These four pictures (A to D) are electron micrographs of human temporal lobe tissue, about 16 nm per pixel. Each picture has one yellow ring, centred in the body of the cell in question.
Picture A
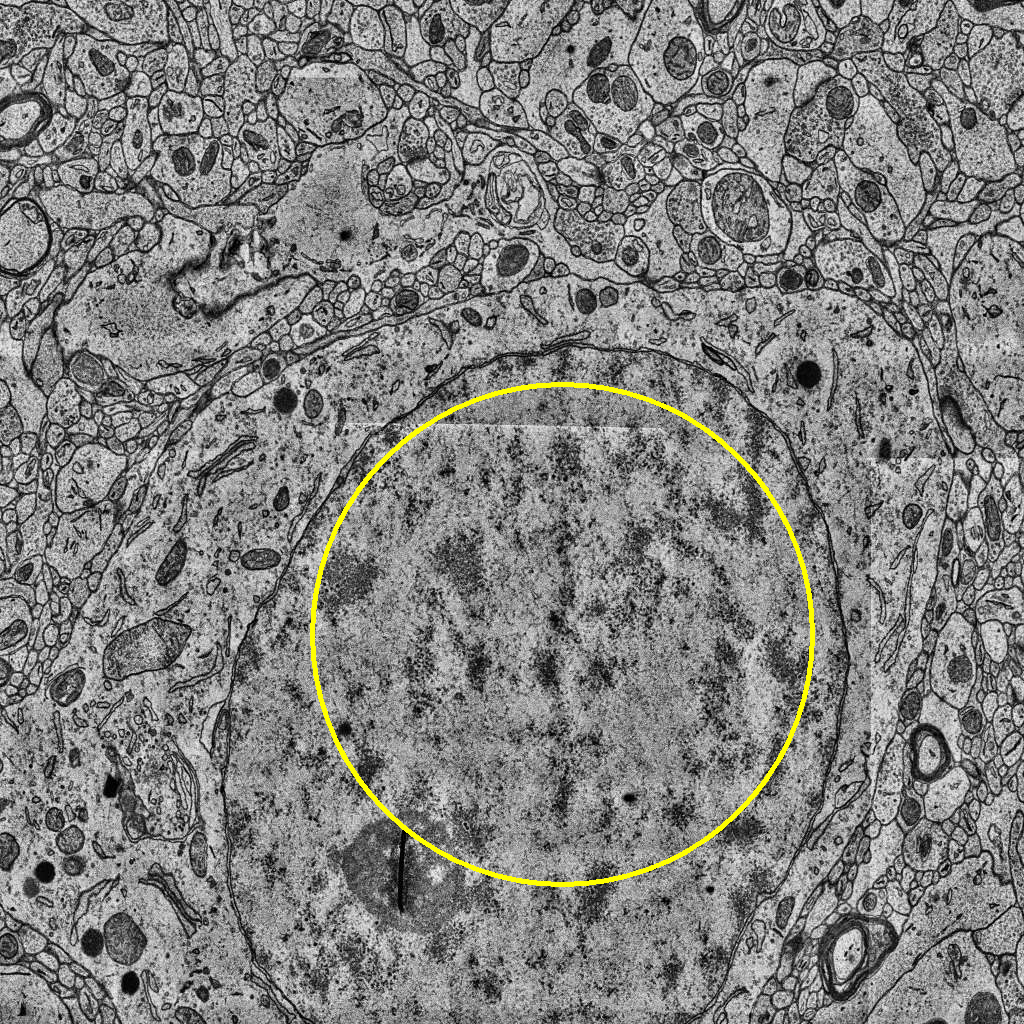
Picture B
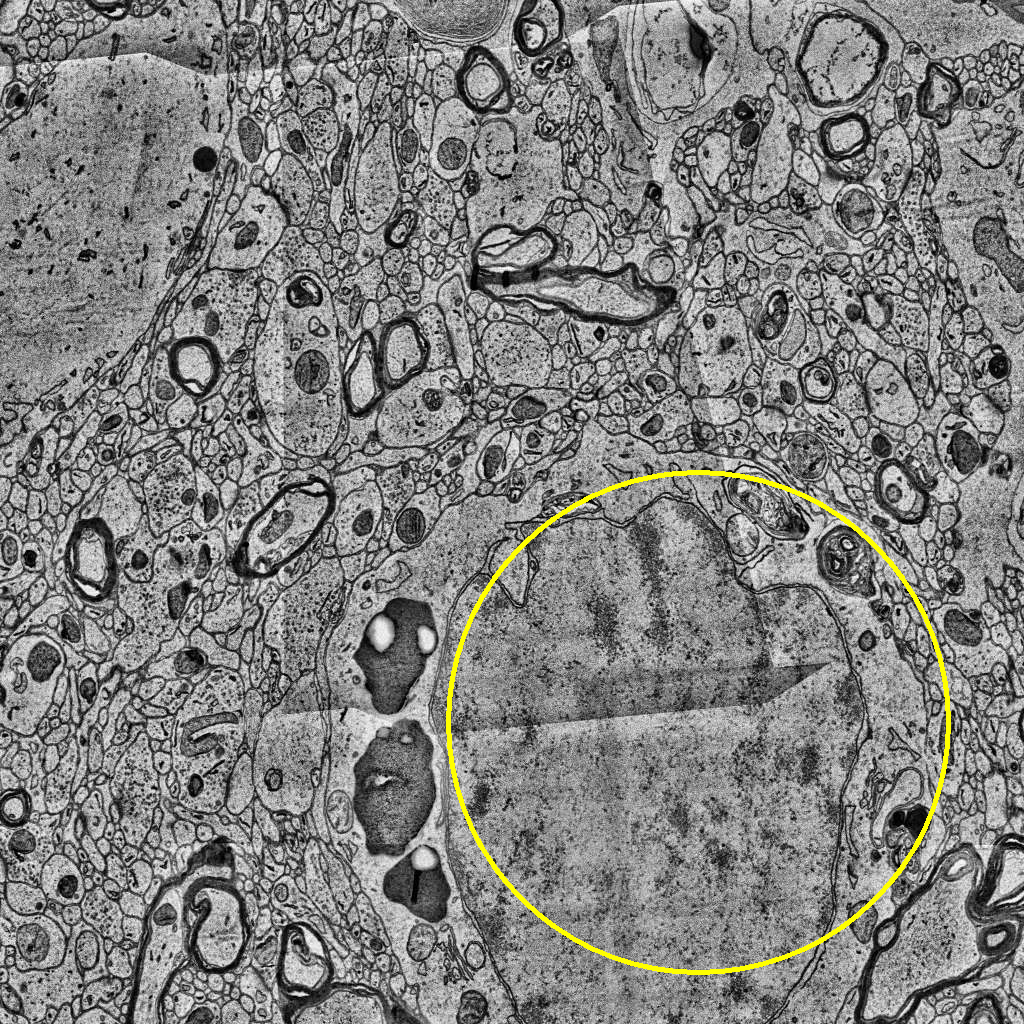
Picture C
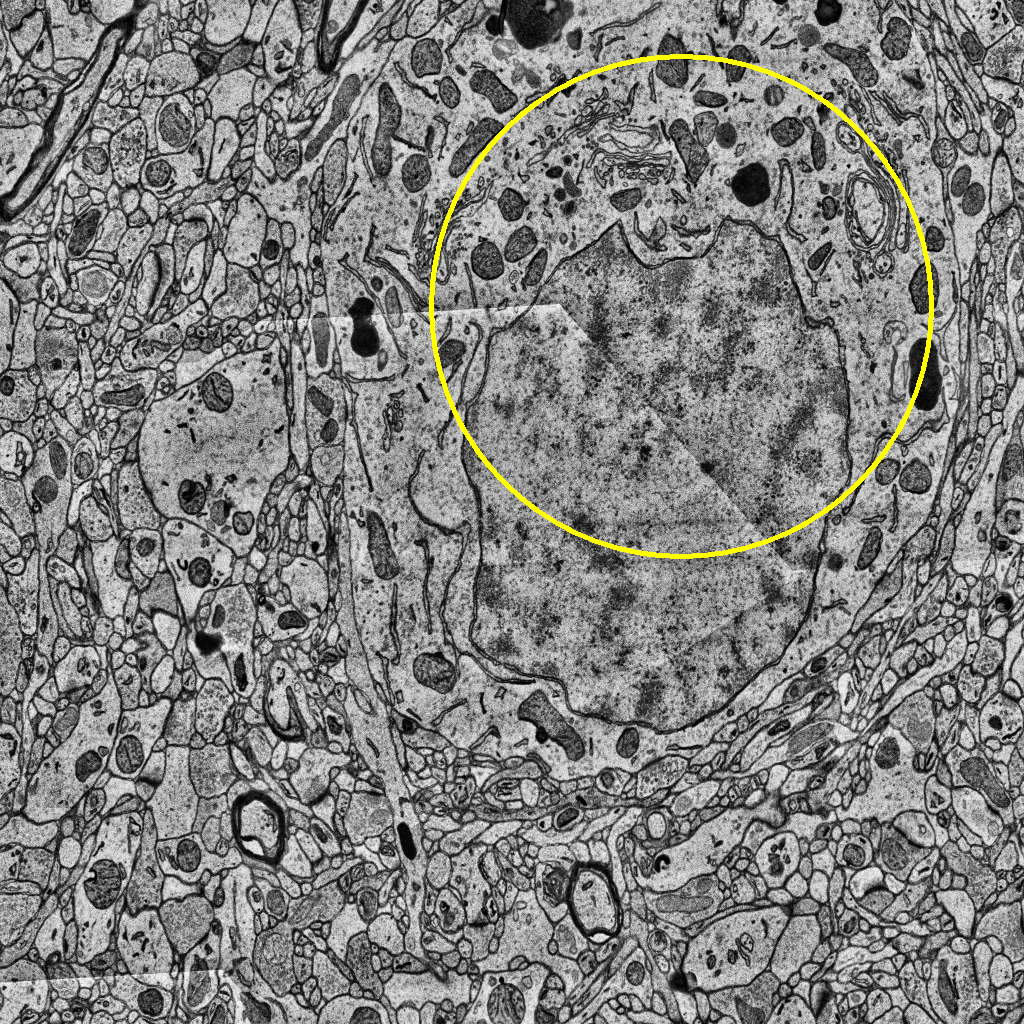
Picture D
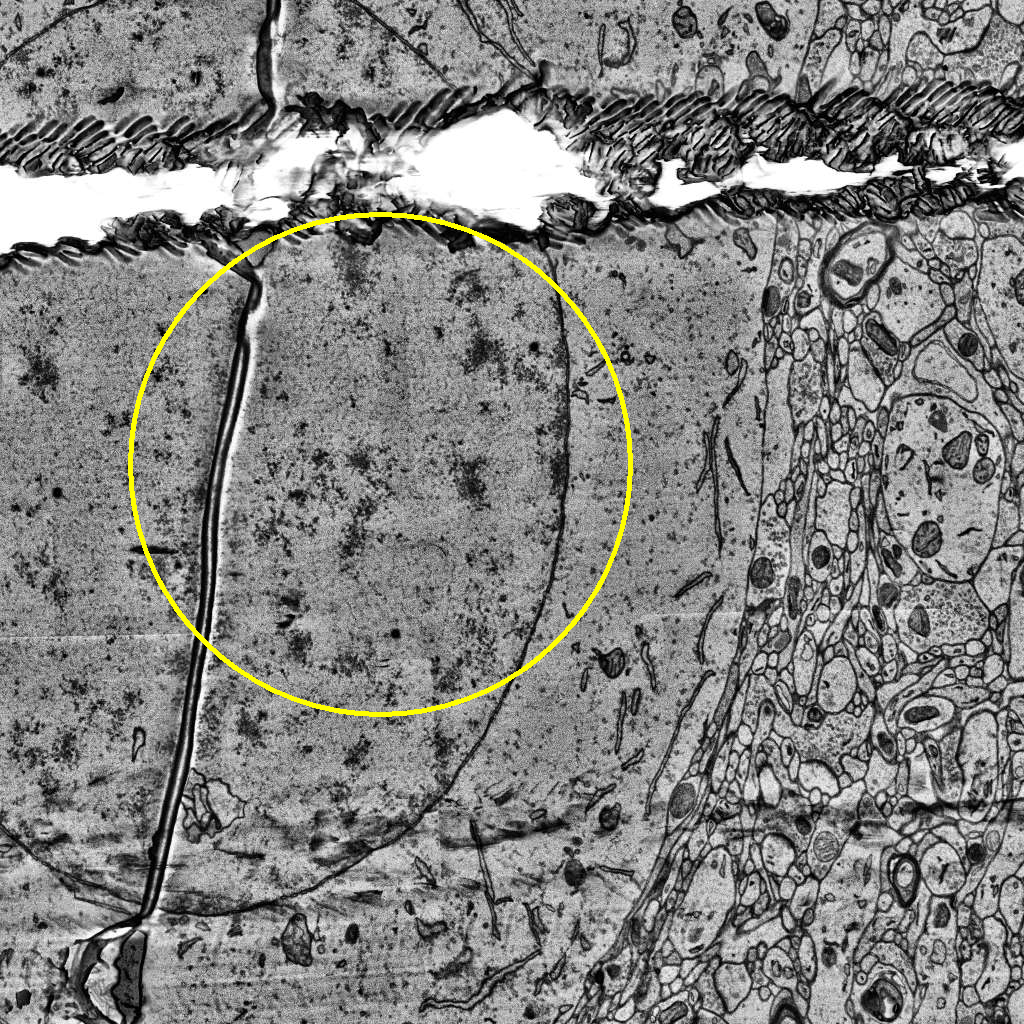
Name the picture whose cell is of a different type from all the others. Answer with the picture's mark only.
D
